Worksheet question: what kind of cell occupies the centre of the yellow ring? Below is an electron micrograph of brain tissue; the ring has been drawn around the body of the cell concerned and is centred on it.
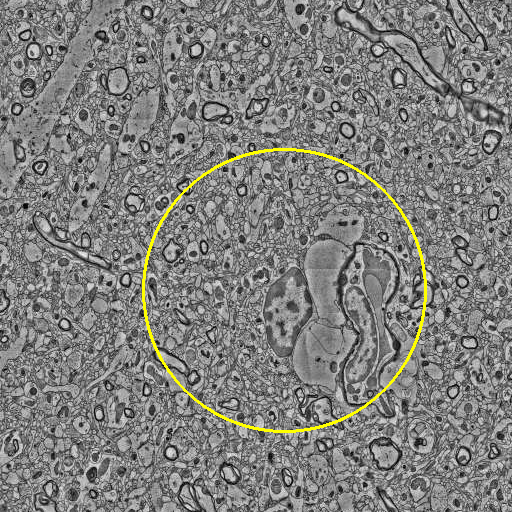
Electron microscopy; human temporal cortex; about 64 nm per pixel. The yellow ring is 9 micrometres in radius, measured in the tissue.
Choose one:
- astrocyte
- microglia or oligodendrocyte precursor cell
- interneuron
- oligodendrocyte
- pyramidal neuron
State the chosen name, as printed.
microglia or oligodendrocyte precursor cell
